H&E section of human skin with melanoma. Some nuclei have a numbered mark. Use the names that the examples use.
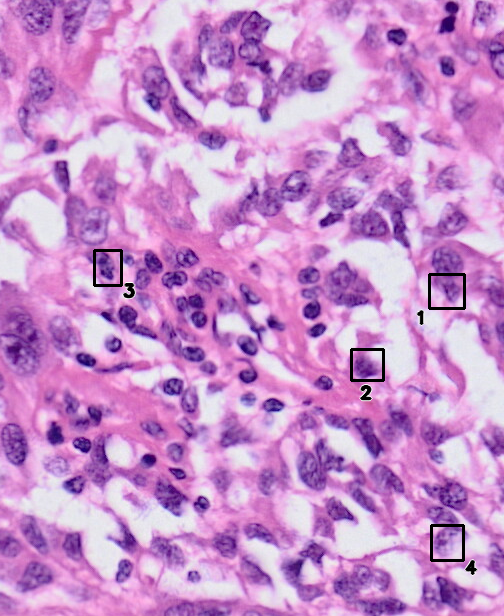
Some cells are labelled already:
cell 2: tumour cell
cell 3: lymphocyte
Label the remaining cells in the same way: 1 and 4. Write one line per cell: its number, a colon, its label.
1: tumour cell
4: tumour cell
